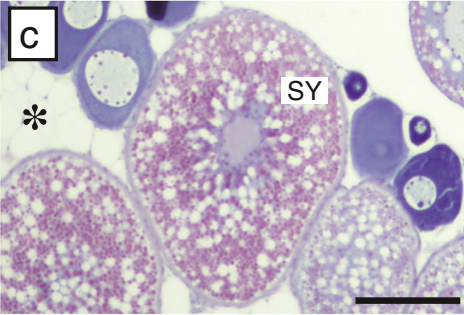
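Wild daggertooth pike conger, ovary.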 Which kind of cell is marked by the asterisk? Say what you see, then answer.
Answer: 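The asterisk sits on a group of clear, empty cells with thin borders beside the oocytes. On this evidence: adipose cells.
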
